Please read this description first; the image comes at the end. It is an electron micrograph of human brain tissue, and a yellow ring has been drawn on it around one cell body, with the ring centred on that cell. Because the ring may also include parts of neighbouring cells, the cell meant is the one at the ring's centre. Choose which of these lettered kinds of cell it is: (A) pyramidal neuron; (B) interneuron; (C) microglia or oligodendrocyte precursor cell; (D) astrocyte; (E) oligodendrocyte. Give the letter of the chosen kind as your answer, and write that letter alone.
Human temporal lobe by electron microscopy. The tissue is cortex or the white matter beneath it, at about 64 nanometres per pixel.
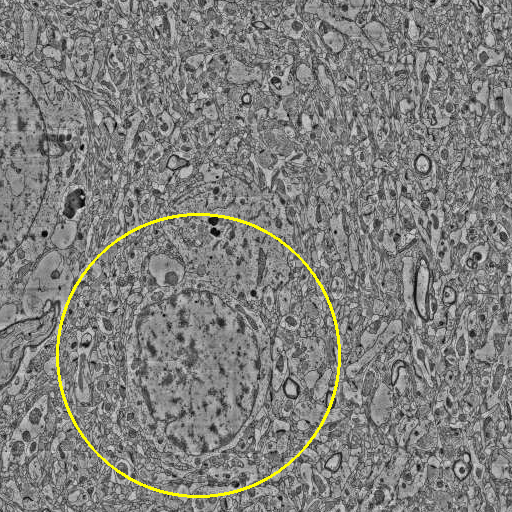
B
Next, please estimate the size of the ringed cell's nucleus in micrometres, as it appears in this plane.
In this plane, the nucleus is roughly 10 by 8 micrometres.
